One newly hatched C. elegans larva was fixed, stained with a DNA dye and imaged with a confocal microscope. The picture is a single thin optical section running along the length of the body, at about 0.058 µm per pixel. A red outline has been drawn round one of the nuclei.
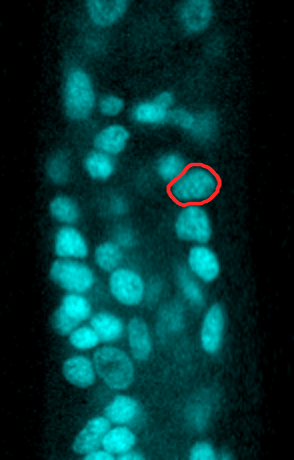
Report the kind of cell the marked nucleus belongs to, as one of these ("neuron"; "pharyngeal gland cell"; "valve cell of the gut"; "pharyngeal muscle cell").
pharyngeal muscle cell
